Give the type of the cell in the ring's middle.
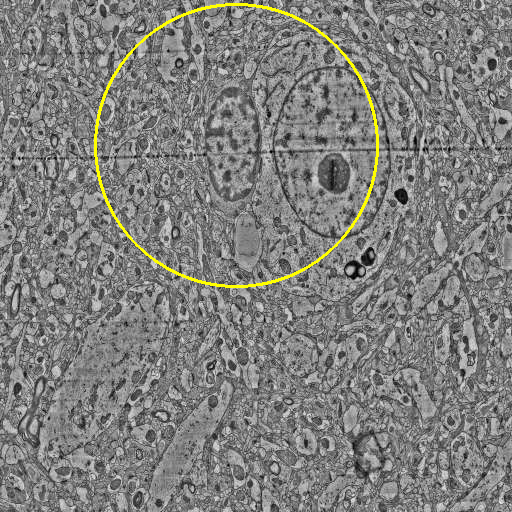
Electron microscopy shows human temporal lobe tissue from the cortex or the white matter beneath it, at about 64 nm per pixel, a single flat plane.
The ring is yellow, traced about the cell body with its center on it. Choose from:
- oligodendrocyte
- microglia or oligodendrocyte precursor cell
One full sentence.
Here, an oligodendrocyte is the cell lying at the center of the yellow ring.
